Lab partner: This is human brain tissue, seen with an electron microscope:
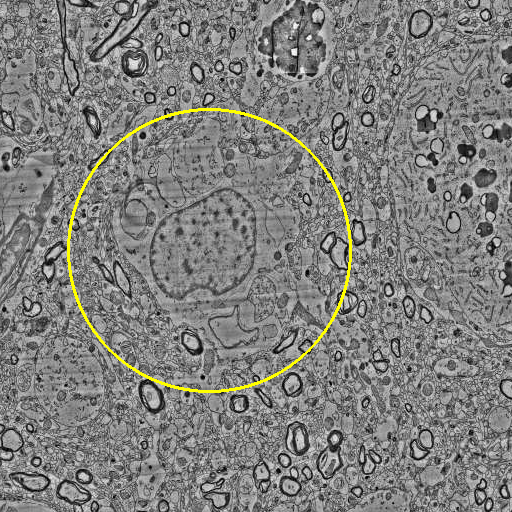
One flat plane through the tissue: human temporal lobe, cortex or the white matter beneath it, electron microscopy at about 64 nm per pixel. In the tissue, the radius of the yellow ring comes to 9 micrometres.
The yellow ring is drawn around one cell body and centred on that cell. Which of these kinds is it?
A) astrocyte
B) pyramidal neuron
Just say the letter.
A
